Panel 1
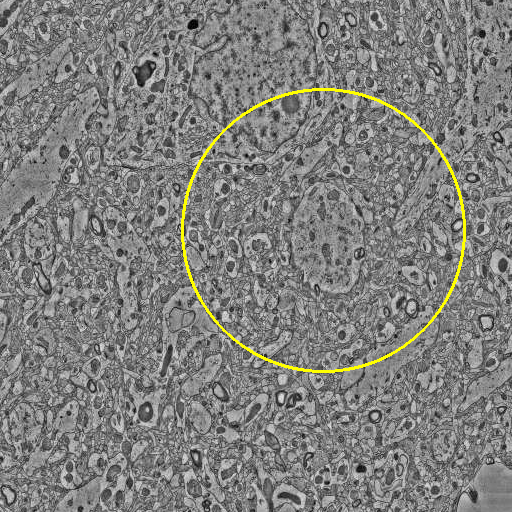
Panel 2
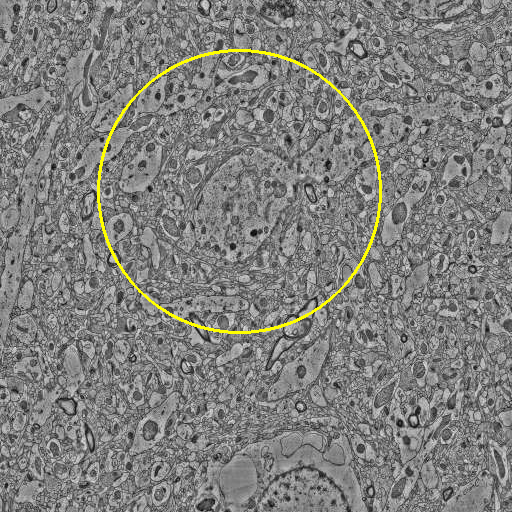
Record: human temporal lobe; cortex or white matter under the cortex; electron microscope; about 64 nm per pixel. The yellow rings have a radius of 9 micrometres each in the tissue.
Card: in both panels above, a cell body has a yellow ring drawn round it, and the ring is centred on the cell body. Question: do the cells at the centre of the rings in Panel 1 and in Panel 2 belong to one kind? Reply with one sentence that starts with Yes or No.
Yes, the cells centred in the rings of Panel 1 and Panel 2 are one kind of cell.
